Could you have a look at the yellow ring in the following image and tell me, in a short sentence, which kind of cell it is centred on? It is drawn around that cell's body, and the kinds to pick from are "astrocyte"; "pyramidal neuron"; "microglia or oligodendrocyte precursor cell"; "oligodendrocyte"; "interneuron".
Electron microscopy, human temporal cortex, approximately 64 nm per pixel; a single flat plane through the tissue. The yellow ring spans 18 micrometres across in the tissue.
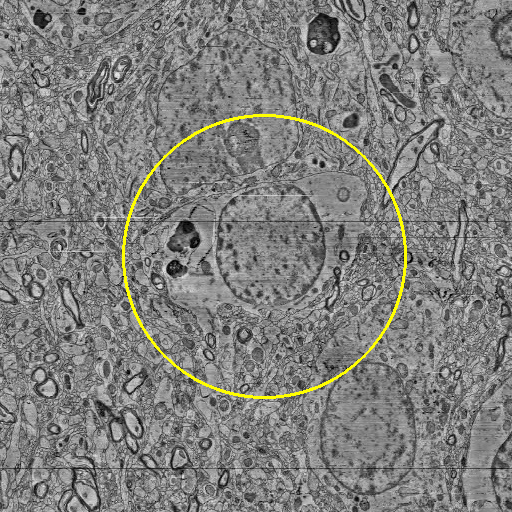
The ring is centred on the body of an astrocyte.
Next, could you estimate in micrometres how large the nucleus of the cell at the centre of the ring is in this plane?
In this plane the nucleus measures roughly 8 by 7 micrometers.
